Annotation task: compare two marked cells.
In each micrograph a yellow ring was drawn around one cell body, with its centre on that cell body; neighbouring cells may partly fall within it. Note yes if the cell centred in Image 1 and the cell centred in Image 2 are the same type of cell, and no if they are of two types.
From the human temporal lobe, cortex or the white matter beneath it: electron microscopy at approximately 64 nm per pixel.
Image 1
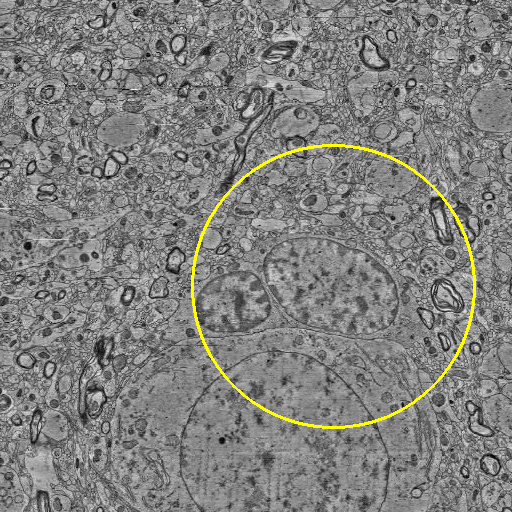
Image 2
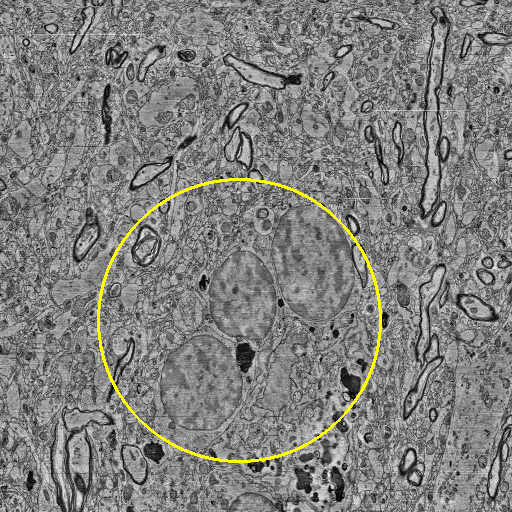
yes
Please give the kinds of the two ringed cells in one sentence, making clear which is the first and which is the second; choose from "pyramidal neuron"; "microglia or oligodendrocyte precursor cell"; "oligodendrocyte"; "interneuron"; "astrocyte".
In each picture the ringed cell is an oligodendrocyte.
